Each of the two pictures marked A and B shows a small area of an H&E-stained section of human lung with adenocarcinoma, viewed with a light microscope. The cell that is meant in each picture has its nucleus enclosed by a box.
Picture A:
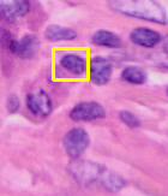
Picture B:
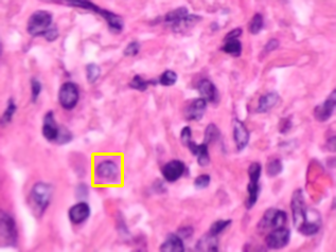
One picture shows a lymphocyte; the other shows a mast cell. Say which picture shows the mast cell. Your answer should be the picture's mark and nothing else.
B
